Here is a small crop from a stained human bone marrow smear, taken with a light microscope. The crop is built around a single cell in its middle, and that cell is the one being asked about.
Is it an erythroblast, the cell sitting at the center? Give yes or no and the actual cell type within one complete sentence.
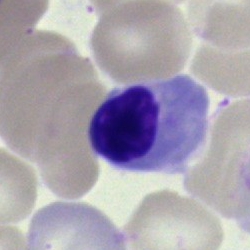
Yes, within this crop, the central cell is an erythroblast.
